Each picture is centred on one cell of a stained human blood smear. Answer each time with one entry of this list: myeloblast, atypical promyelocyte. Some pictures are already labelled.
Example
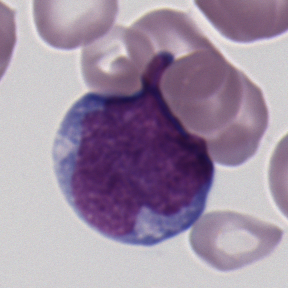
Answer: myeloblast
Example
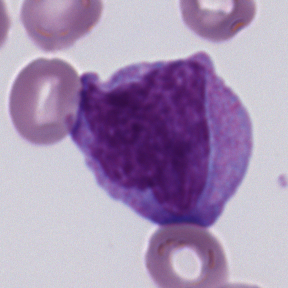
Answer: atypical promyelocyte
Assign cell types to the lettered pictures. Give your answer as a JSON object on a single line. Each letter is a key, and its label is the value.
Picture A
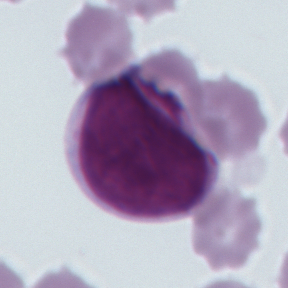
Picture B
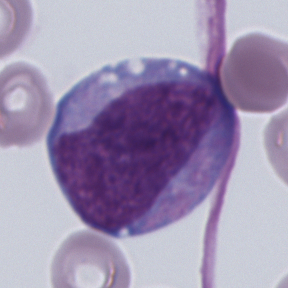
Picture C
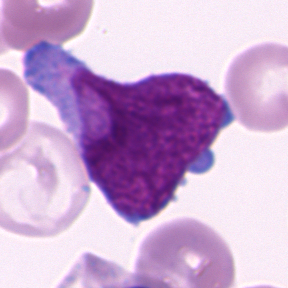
{"A": "myeloblast", "B": "atypical promyelocyte", "C": "myeloblast"}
